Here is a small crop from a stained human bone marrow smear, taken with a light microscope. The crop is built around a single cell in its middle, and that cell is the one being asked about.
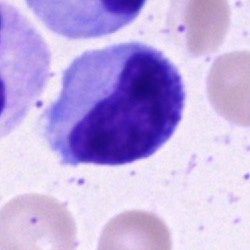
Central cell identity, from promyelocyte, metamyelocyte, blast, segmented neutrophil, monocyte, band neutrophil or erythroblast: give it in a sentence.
At the center of the crop sits a metamyelocyte.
